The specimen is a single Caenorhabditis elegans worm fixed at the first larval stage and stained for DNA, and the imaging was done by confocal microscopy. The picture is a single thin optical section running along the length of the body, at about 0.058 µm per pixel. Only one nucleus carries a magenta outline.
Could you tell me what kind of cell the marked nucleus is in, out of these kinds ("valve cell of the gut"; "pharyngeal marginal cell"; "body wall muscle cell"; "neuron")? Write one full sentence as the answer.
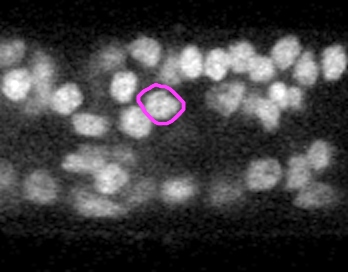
It belongs to a neuron.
